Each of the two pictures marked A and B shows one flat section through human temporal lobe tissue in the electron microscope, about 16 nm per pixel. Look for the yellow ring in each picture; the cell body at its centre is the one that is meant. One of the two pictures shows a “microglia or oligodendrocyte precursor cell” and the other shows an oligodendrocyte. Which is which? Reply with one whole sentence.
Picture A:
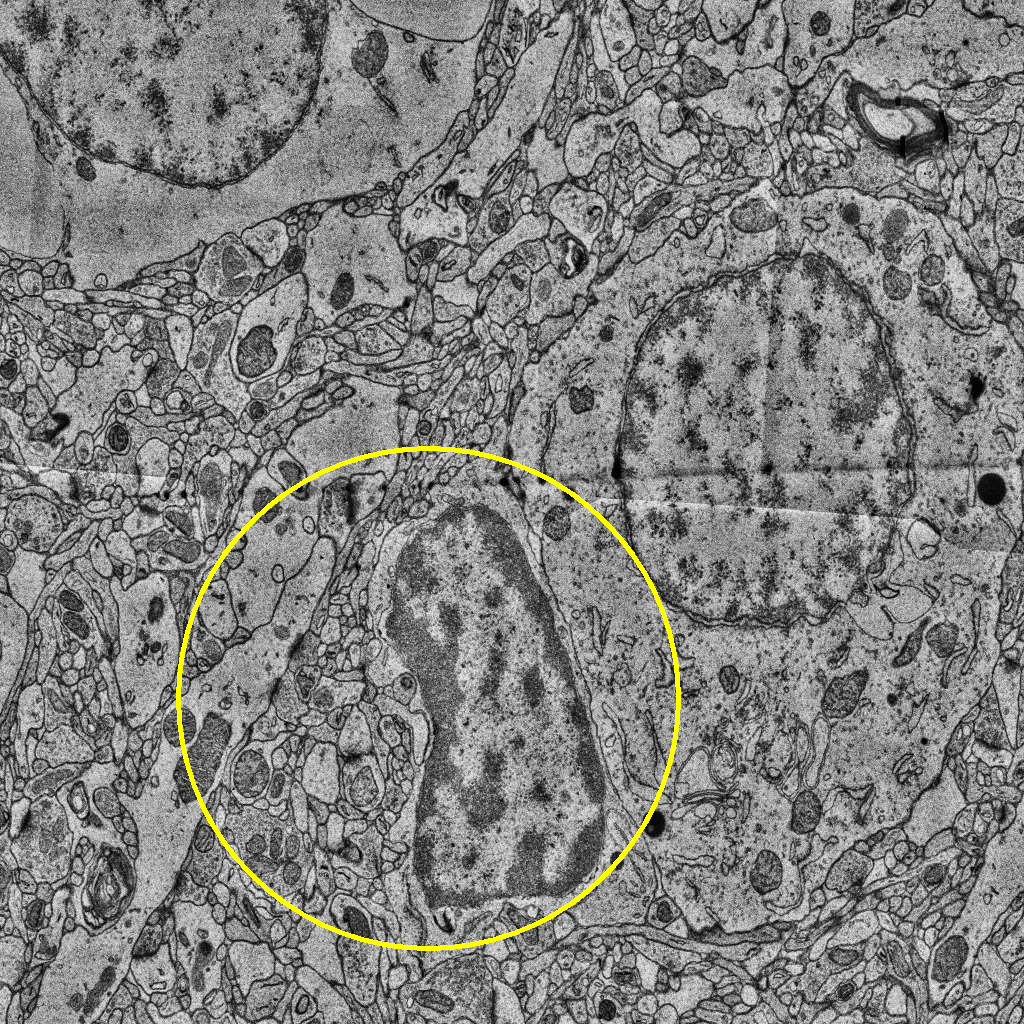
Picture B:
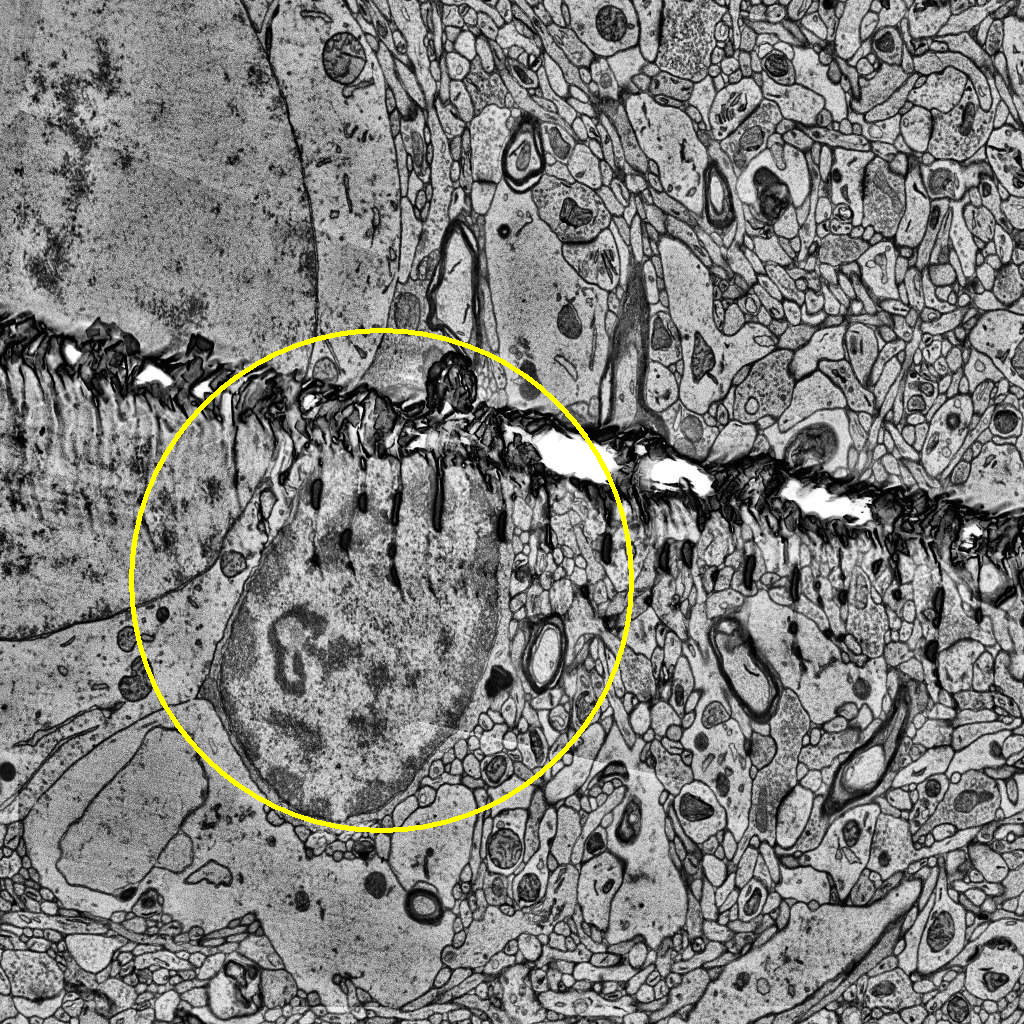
In picture A the cell is a “microglia or oligodendrocyte precursor cell”; in picture B, an oligodendrocyte.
